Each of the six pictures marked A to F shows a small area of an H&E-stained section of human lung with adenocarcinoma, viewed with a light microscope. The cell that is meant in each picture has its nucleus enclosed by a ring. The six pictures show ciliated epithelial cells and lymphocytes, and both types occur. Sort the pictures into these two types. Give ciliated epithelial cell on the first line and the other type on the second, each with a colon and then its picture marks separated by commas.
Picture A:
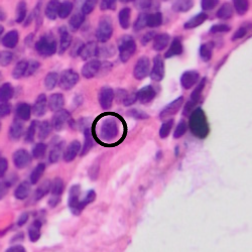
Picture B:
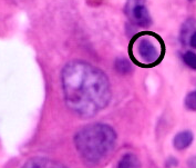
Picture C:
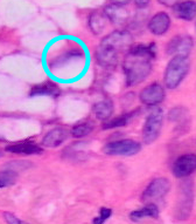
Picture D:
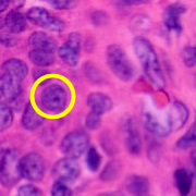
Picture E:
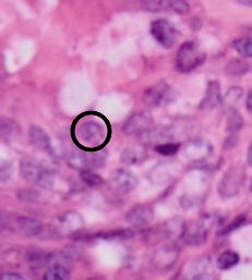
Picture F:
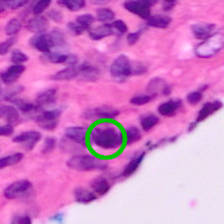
ciliated epithelial cell: C, D, E
lymphocyte: A, B, F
